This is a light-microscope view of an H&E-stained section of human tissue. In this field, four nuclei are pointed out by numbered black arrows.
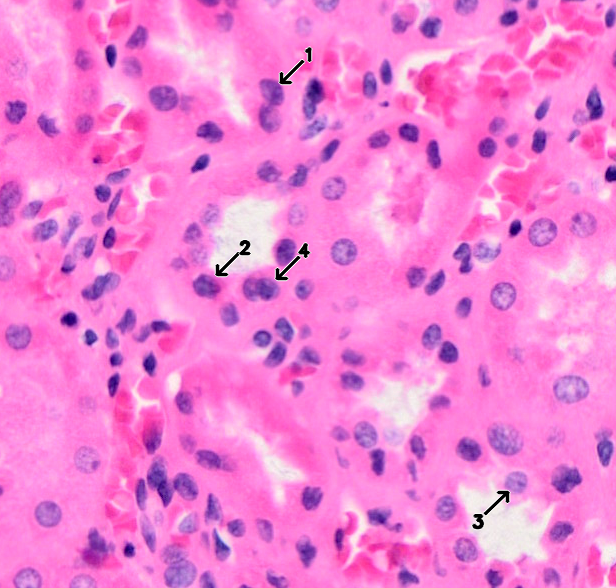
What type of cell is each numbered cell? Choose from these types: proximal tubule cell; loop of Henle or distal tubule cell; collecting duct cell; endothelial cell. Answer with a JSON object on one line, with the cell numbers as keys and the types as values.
{"1": "proximal tubule cell", "2": "loop of Henle or distal tubule cell", "3": "loop of Henle or distal tubule cell", "4": "loop of Henle or distal tubule cell"}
